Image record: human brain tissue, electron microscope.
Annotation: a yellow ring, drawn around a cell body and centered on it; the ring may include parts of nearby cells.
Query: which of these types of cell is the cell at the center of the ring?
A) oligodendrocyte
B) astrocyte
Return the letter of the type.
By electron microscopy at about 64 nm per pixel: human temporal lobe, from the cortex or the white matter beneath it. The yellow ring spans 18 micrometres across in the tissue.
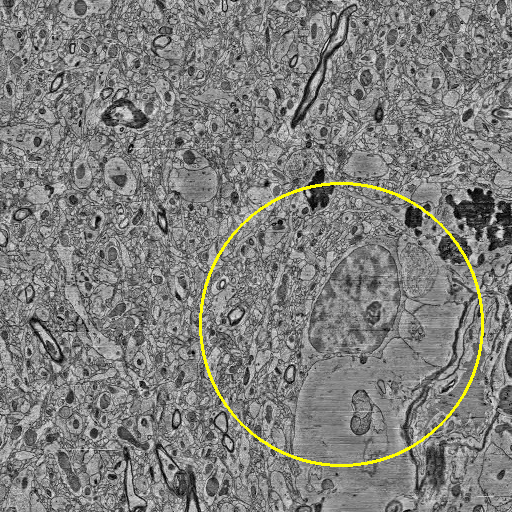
A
